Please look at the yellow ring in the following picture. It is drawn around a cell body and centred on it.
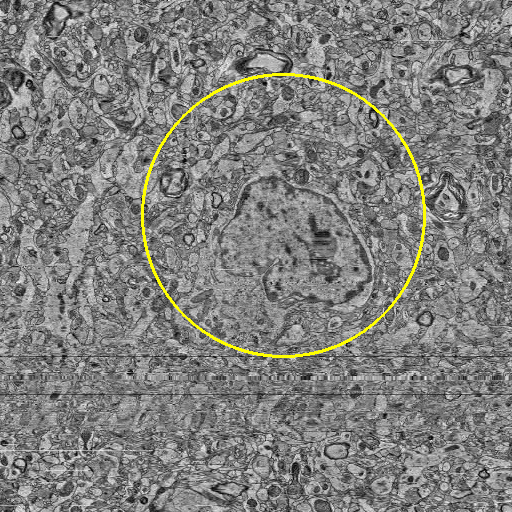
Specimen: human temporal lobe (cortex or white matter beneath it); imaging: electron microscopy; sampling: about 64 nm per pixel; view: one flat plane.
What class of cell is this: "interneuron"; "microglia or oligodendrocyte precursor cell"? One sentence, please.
The ring surrounds the cell body of a microglial cell or oligodendrocyte precursor cell.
